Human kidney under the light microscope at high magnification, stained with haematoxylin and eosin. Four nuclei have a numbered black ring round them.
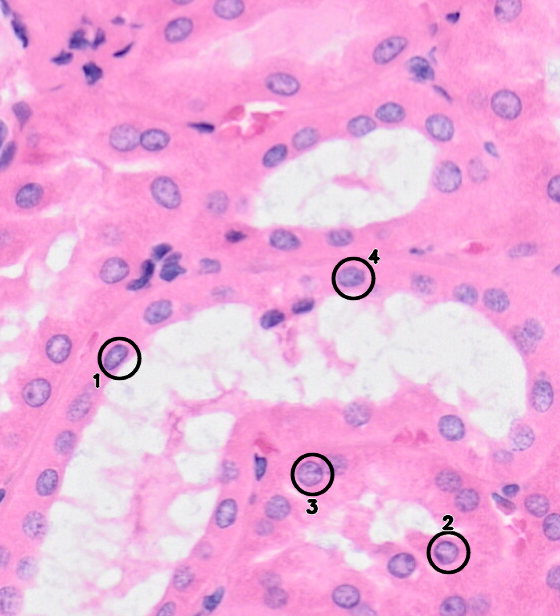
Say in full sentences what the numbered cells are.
Cell 1 is a loop of Henle or distal tubule cell, cell 2 is a proximal tubule cell, cell 3 is a proximal tubule cell and cell 4 is a loop of Henle or distal tubule cell.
